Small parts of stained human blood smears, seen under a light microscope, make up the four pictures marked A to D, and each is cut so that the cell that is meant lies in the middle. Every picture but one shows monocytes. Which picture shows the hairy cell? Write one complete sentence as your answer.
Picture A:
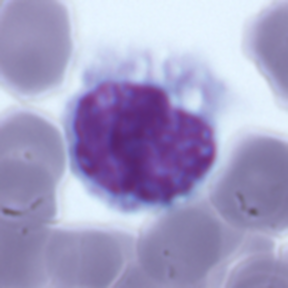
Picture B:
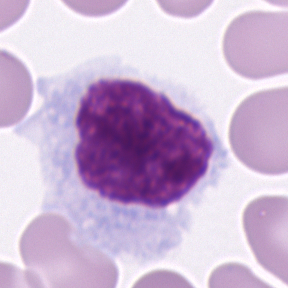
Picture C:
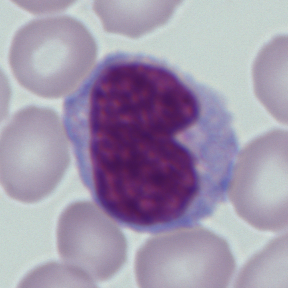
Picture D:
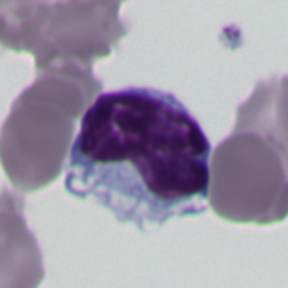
The cell in picture B is the hairy cell.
